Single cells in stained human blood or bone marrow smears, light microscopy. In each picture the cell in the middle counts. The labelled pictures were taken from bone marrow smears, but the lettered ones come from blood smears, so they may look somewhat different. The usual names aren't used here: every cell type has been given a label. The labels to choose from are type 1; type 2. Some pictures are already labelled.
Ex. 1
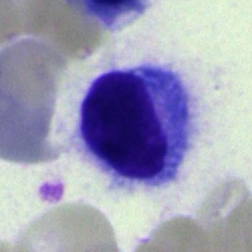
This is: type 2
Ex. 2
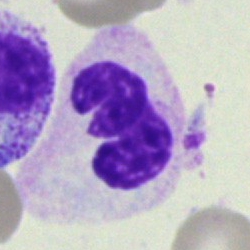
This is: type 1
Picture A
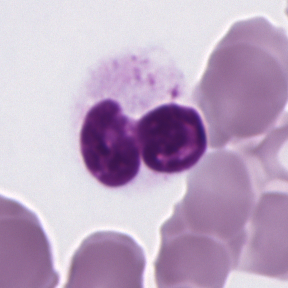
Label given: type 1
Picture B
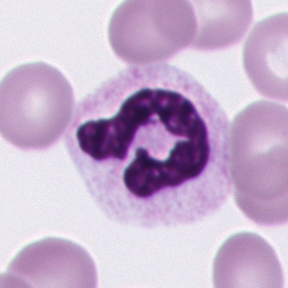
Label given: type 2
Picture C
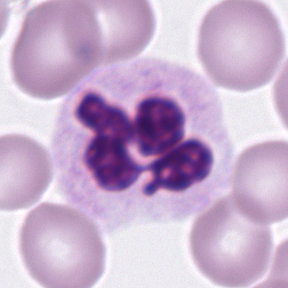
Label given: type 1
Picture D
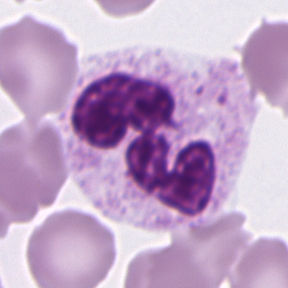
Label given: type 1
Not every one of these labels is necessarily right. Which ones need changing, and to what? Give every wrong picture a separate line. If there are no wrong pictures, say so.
B: change type 2 to type 1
